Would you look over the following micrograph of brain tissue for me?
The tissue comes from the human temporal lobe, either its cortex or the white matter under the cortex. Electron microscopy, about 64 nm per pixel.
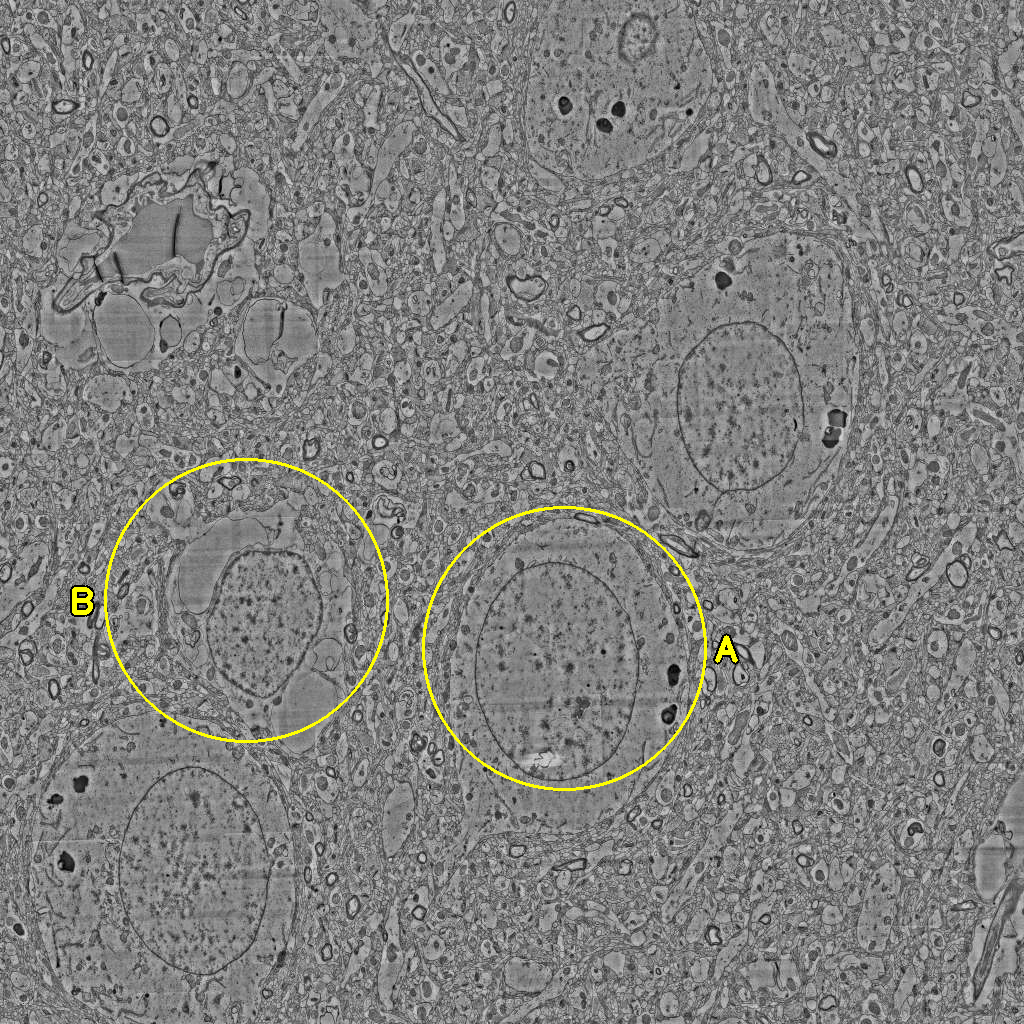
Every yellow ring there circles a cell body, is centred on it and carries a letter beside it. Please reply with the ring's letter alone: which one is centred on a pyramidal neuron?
A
